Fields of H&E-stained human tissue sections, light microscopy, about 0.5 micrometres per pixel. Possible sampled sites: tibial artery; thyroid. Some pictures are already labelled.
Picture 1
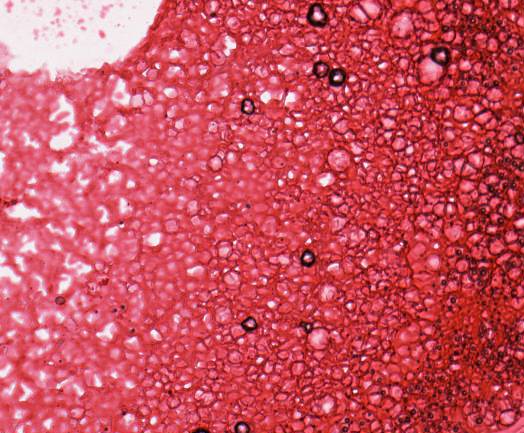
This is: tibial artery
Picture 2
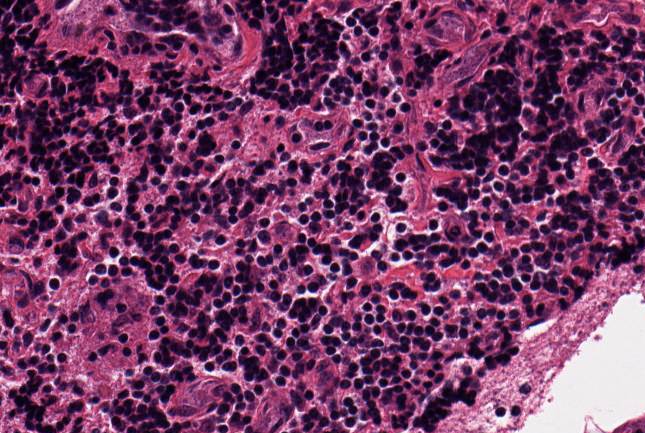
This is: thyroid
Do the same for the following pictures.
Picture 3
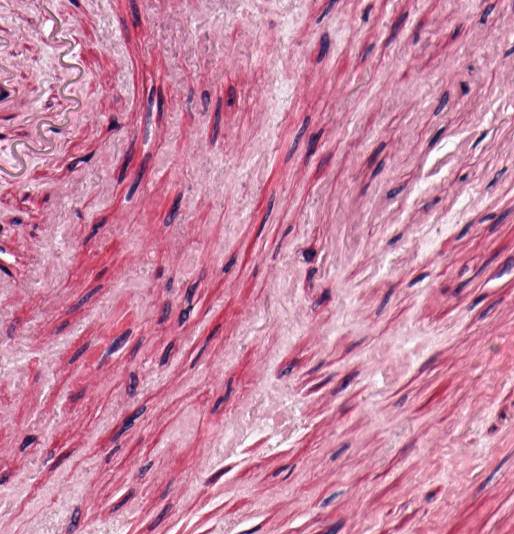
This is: tibial artery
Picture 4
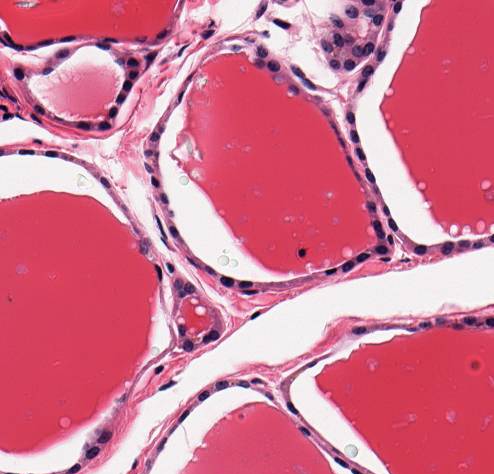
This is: thyroid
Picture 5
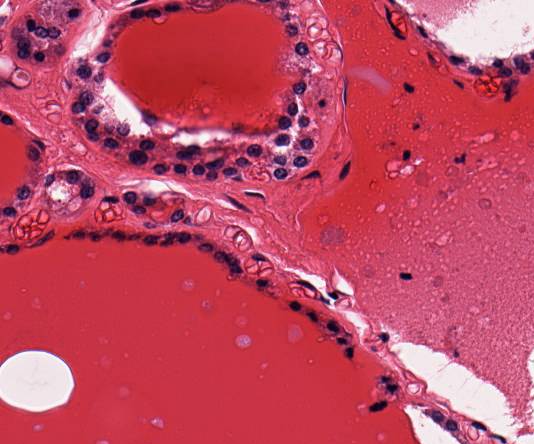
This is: thyroid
